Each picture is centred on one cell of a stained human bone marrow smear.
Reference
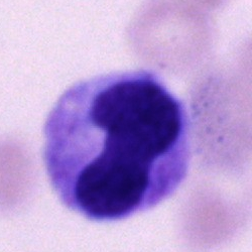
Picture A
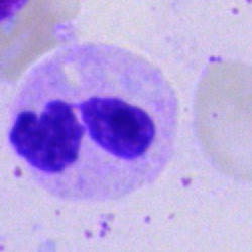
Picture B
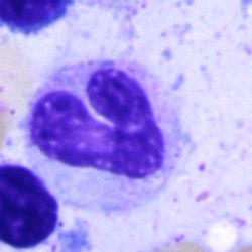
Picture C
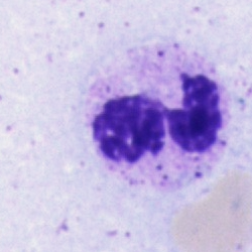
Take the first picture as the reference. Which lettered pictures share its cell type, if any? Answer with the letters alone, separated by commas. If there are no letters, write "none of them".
B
